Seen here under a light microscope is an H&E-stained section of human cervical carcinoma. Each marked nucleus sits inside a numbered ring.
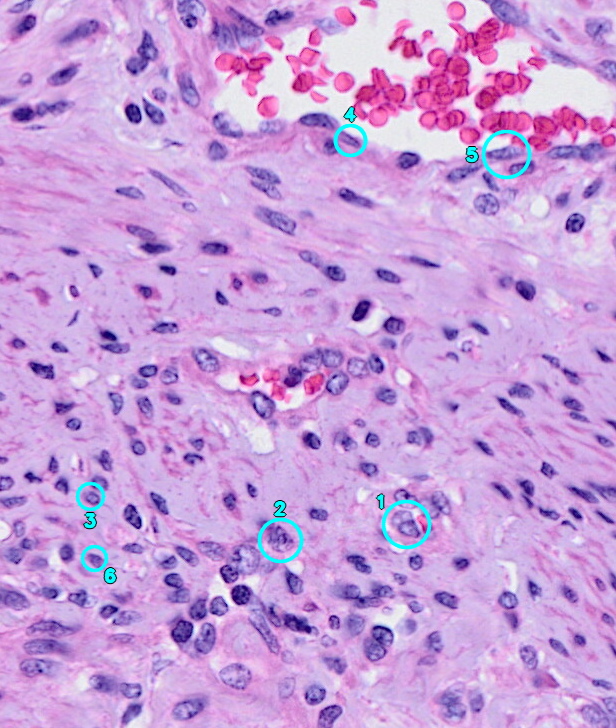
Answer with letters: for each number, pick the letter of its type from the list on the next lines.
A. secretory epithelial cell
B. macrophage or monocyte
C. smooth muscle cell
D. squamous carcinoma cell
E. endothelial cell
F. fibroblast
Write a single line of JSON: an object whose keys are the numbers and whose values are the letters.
{"1": "E", "2": "E", "3": "C", "4": "E", "5": "E", "6": "C"}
